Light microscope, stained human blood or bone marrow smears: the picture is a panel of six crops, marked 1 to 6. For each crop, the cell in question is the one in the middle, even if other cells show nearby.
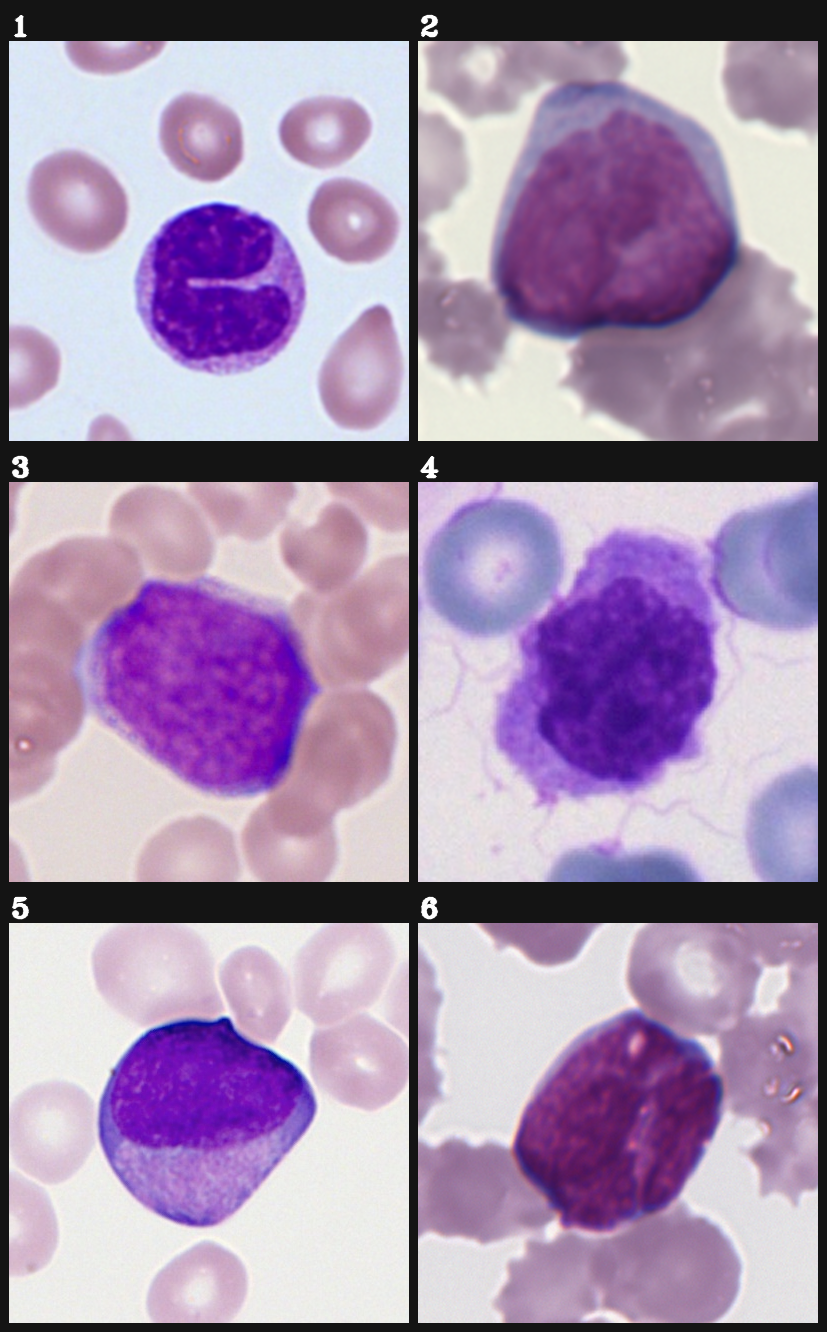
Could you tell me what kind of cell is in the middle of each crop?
1: monocyte
2: blast
3: blast
4: monocyte
5: blast
6: blast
